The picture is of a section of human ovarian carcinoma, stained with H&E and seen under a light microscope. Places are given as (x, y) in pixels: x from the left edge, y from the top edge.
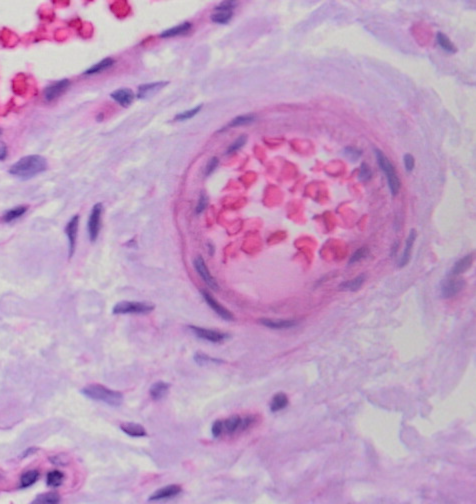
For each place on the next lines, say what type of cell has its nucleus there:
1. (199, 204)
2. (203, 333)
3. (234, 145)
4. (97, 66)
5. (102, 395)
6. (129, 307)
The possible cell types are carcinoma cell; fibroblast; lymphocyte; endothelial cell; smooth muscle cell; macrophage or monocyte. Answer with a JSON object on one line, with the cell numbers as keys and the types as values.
{"1": "endothelial cell", "2": "fibroblast", "3": "endothelial cell", "4": "endothelial cell", "5": "fibroblast", "6": "fibroblast"}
